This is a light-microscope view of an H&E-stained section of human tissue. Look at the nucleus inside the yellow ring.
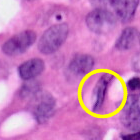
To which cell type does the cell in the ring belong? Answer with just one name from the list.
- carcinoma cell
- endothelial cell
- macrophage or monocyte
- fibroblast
endothelial cell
